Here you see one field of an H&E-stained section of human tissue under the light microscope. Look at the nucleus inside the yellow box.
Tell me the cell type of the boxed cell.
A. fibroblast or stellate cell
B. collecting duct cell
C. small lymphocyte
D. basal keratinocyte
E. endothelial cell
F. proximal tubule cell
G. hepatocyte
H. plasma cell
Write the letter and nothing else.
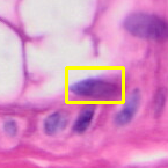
E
